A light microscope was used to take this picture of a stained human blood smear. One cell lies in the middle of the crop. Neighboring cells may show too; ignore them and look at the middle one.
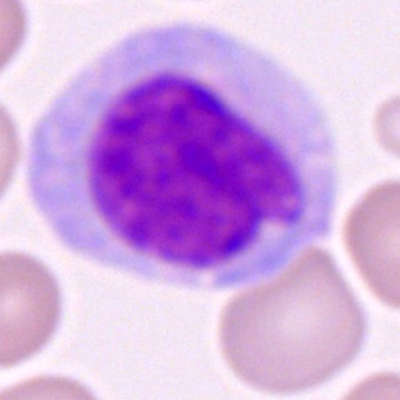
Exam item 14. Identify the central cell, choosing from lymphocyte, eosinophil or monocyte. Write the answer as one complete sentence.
In the middle of this smear crop, the cell is a monocyte.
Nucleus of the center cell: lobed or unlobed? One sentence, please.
Between us, the nucleus here is just one compact mass, round, oval or kidney-shaped.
